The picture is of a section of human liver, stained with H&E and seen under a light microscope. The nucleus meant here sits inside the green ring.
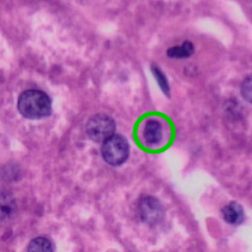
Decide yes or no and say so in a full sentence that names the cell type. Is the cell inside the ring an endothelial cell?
No, as a cell type, the cell inside the ring is a fibroblast or stellate cell rather than an endothelial cell.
